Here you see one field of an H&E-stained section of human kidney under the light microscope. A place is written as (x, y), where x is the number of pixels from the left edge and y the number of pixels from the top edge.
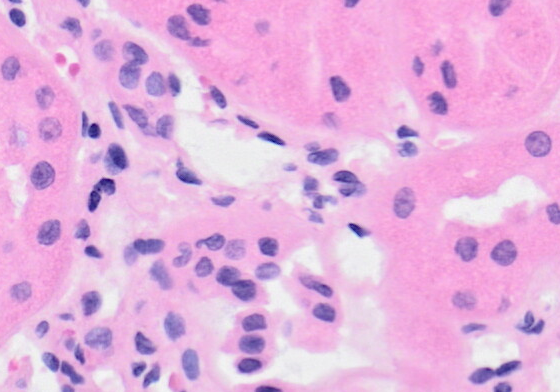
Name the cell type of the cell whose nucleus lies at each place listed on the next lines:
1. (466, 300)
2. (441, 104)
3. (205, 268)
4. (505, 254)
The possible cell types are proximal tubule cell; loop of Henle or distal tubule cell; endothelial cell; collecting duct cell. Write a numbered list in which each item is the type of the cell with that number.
1. proximal tubule cell
2. proximal tubule cell
3. collecting duct cell
4. proximal tubule cell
